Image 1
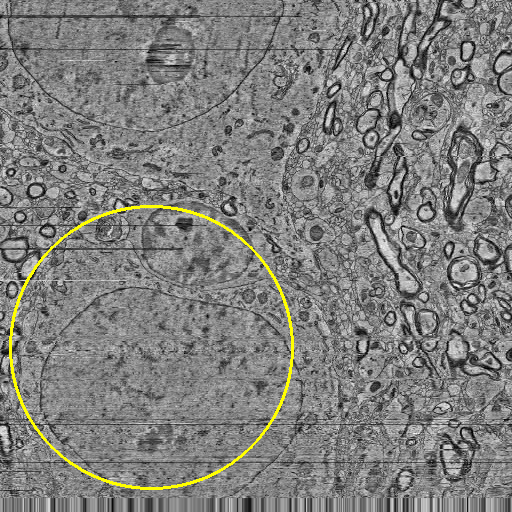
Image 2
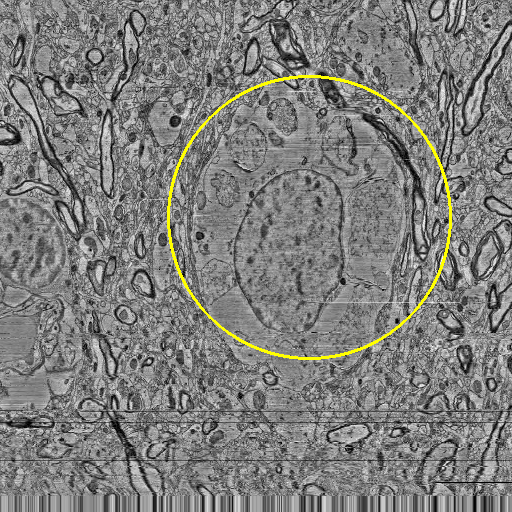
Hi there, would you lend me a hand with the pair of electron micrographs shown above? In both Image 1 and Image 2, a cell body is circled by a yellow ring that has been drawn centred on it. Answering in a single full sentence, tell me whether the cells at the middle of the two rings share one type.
No, the ringed cells in Image 1 and Image 2 belong to two types.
